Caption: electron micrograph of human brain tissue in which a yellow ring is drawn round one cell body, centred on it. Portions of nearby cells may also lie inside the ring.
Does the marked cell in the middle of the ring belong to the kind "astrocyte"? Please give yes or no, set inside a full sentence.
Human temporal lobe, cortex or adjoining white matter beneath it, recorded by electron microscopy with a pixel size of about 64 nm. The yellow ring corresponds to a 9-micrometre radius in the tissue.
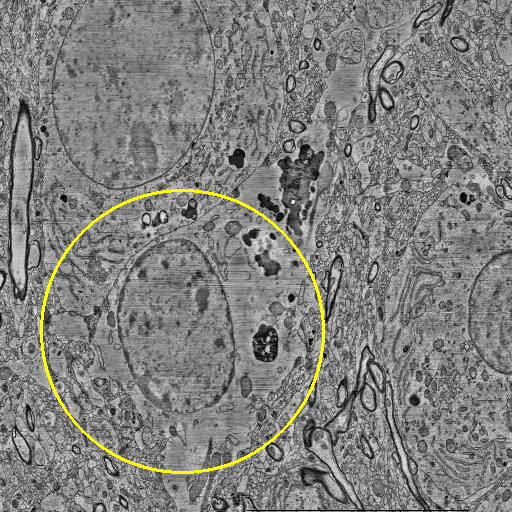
Yes, the marked cell that the ring is centred on in the picture is of that kind.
